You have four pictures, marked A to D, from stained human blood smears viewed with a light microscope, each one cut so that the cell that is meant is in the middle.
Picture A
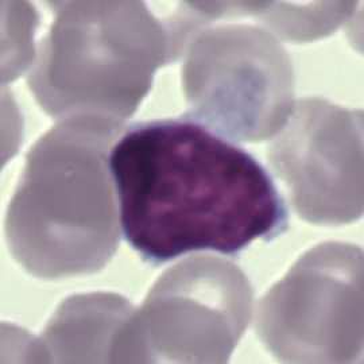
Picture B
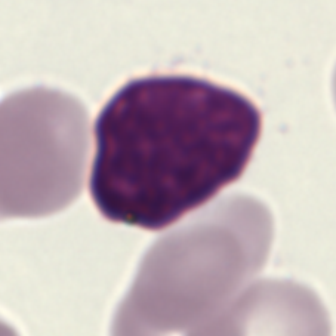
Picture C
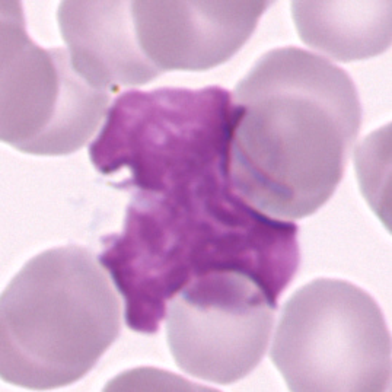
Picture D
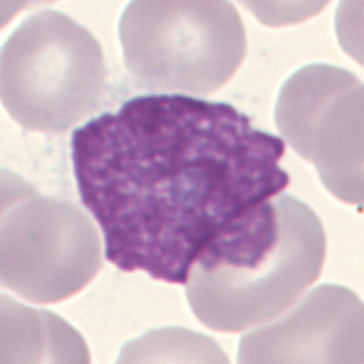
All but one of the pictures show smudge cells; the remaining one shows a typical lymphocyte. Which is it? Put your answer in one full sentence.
The typical lymphocyte is the one in picture A.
